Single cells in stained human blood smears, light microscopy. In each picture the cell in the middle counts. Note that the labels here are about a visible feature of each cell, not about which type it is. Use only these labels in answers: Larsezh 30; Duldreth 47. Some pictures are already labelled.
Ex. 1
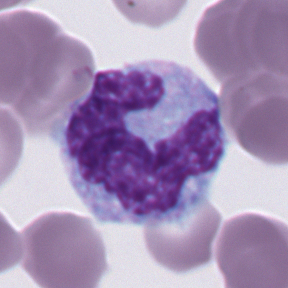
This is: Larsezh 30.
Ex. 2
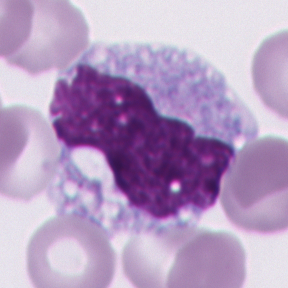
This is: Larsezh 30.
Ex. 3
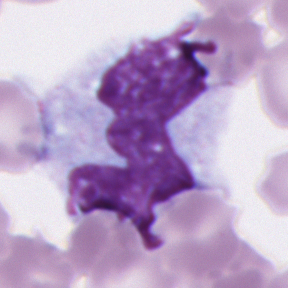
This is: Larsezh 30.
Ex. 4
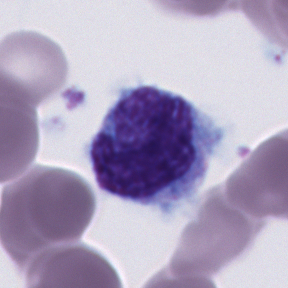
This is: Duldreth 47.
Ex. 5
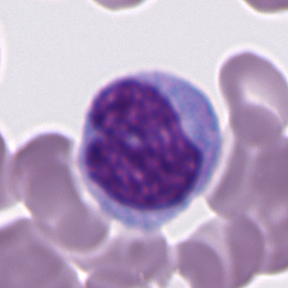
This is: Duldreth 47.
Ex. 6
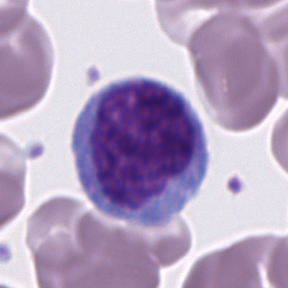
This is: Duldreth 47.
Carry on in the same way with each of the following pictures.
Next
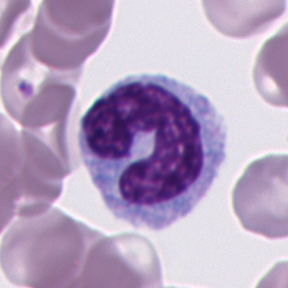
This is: Larsezh 30.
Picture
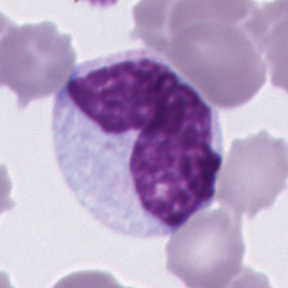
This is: Larsezh 30.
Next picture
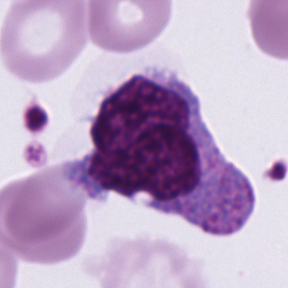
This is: Duldreth 47.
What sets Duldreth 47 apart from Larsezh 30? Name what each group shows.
Duldreth 47, round or oval nucleus; Larsezh 30, band-shaped nucleus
